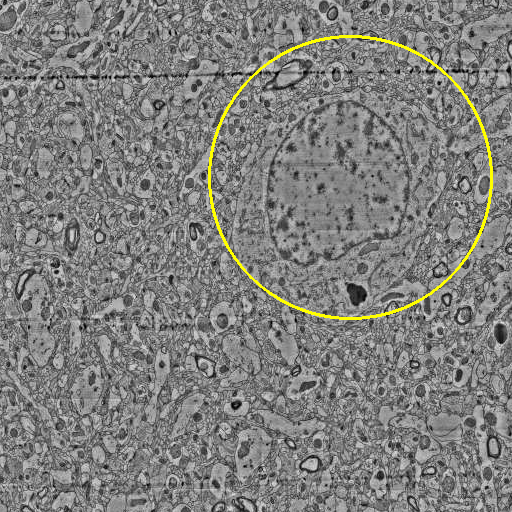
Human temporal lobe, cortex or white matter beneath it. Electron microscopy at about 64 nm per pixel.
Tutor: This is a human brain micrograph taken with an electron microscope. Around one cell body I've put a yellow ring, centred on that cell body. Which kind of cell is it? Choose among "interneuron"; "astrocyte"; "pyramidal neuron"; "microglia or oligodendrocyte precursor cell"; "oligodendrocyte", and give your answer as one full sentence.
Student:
Going by your list, the cell centred in the yellow ring is an interneuron.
